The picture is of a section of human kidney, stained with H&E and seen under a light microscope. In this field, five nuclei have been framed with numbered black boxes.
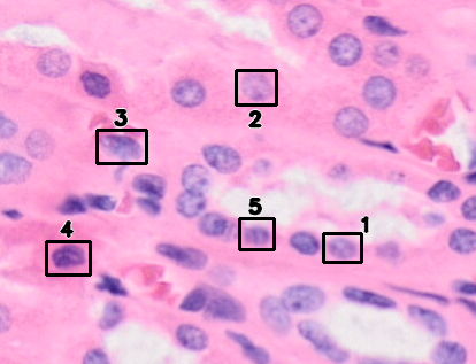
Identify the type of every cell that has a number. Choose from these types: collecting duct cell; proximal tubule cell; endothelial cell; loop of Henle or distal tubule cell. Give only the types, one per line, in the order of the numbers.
loop of Henle or distal tubule cell
proximal tubule cell
endothelial cell
proximal tubule cell
loop of Henle or distal tubule cell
